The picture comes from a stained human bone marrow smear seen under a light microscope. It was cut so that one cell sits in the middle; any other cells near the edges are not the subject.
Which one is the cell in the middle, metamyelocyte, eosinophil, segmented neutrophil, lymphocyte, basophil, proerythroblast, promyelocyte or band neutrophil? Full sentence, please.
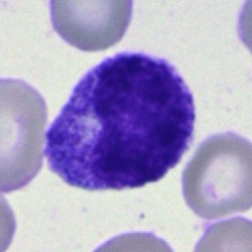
The centrally positioned cell in the crop represents a metamyelocyte.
